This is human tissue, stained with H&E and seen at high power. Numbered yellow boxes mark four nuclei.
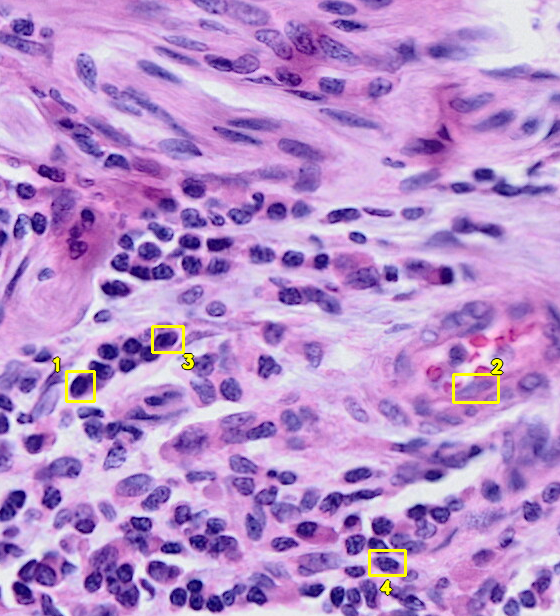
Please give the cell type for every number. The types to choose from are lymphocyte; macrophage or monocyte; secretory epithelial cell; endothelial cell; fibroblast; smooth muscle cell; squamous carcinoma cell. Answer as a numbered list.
1. lymphocyte
2. endothelial cell
3. lymphocyte
4. lymphocyte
